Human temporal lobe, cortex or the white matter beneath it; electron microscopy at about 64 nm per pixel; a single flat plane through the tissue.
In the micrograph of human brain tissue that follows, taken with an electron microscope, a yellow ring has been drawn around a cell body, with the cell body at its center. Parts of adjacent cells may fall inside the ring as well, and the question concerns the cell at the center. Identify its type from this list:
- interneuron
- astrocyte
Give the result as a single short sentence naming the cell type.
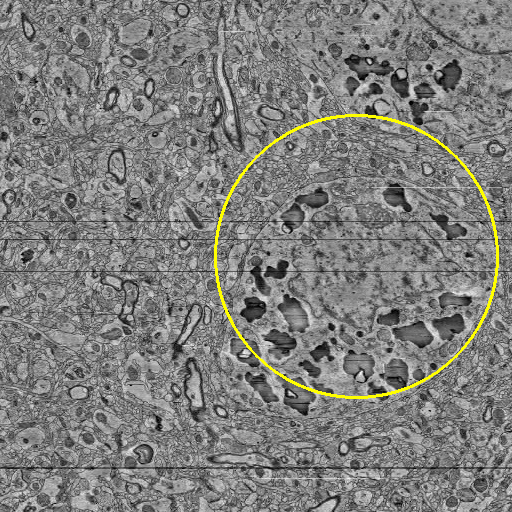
The ring is centered on an interneuron.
